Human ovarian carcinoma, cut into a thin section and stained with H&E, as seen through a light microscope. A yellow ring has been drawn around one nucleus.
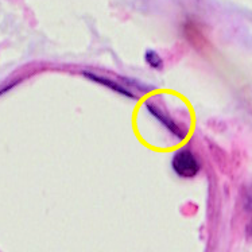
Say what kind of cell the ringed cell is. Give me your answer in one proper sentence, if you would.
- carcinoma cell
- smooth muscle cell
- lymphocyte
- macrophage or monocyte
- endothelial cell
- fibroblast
For the purposes of cell typing, the ringed cell is categorized as an endothelial cell.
